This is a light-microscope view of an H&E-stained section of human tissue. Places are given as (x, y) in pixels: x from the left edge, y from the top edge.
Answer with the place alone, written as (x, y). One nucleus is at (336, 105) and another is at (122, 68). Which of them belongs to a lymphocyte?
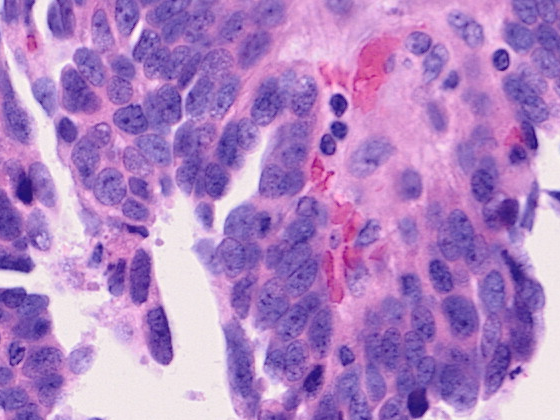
(336, 105)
